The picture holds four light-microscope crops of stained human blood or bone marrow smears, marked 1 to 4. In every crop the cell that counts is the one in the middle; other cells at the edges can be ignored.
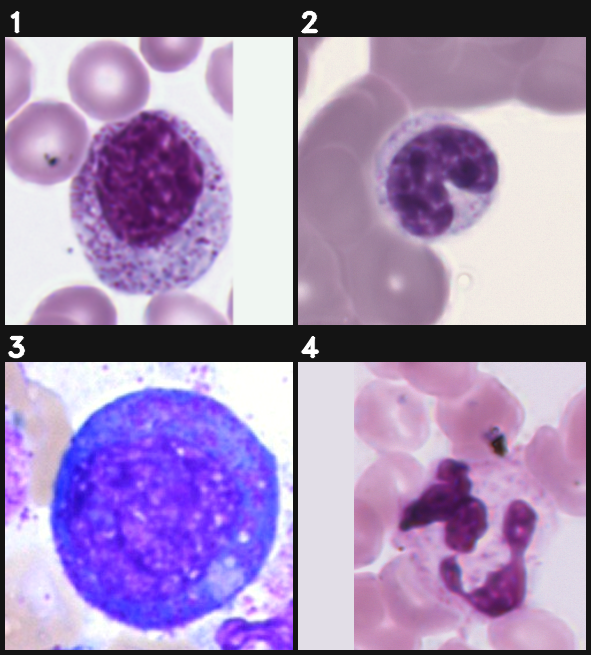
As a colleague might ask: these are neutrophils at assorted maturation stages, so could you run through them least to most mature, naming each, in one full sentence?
Reading from least to most mature, the order comes out as crop 3 (a promyelocyte), crop 1 (a myelocyte), crop 2 (a band neutrophil) and crop 4 (a segmented neutrophil).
